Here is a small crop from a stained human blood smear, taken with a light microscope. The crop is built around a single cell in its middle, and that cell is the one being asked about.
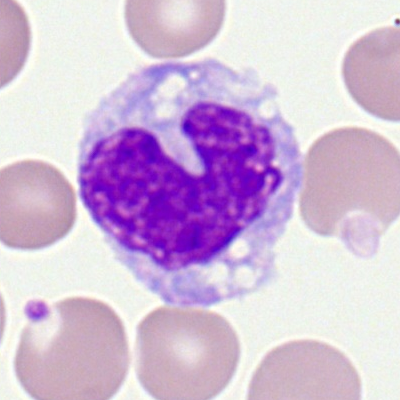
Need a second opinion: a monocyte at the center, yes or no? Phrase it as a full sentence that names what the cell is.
Yes, the central cell is to be recorded as a monocyte.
